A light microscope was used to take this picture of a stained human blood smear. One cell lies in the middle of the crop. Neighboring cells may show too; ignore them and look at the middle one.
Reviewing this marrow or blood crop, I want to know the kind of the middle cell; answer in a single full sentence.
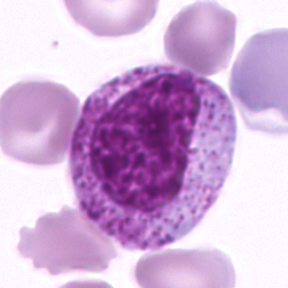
Whatever else lies nearby, the middle cell is a myelocyte.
